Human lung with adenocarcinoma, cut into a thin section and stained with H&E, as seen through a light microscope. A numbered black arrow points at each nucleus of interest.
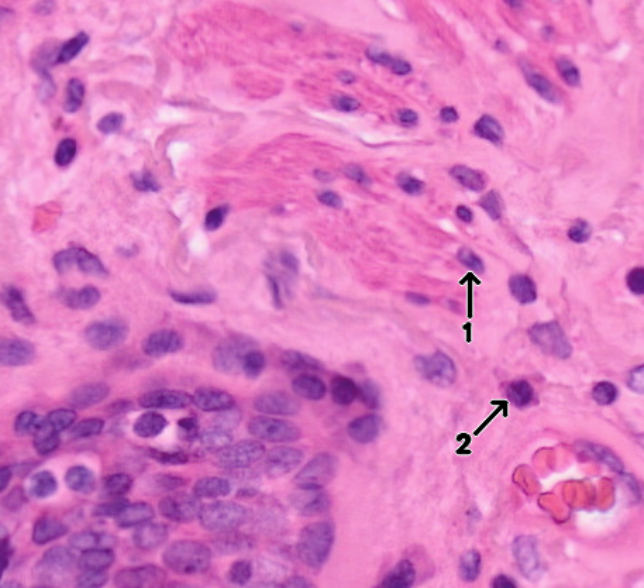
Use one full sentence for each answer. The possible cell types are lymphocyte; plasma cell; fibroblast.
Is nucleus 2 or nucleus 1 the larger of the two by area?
Nucleus 2 is larger, with an area about 1.5 times that of nucleus 1.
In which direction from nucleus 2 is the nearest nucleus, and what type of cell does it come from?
Lying above and to the right of nucleus 2, the nearest nucleus is that of a fibroblast.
